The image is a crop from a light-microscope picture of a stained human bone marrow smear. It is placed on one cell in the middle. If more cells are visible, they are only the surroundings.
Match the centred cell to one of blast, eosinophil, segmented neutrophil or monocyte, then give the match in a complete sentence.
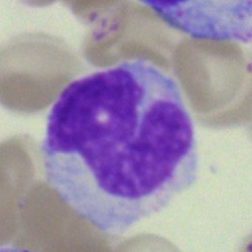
The central cell in this smear crop is a monocyte.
